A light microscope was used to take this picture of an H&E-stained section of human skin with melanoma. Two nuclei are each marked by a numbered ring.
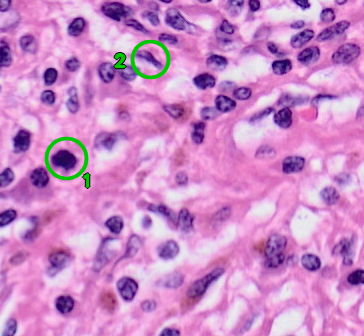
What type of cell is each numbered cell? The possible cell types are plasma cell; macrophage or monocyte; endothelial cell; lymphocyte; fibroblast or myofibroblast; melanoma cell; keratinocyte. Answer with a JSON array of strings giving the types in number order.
["plasma cell", "fibroblast or myofibroblast"]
